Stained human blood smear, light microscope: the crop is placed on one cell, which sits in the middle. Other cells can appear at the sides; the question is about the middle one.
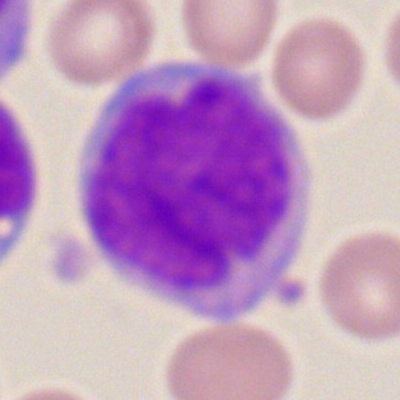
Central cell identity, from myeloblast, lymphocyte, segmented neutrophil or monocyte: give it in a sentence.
The cell featured at the centre of this crop is a monocyte.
